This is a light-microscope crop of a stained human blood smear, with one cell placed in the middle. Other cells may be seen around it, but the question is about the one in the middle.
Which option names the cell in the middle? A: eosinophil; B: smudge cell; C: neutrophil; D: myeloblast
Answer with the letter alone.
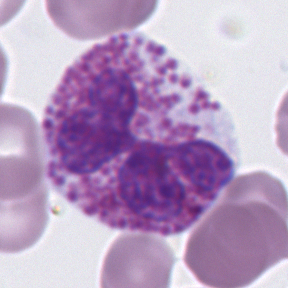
A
